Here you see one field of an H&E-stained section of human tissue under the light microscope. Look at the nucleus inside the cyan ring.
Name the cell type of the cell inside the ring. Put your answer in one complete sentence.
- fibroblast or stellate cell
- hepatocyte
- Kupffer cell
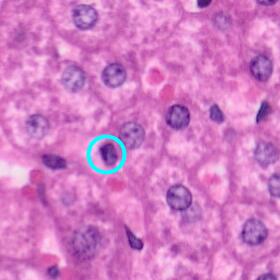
In this tissue sample, the cell inside the ring is a Kupffer cell.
